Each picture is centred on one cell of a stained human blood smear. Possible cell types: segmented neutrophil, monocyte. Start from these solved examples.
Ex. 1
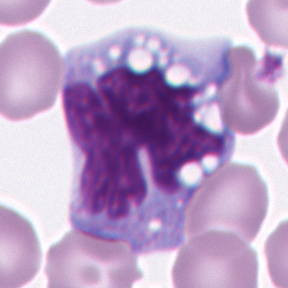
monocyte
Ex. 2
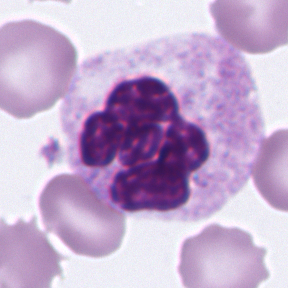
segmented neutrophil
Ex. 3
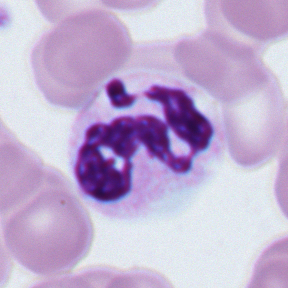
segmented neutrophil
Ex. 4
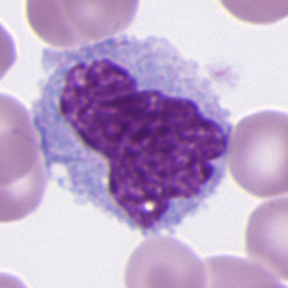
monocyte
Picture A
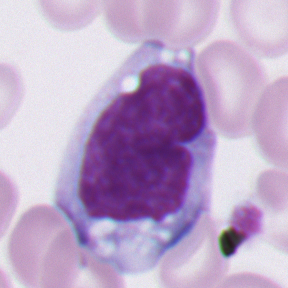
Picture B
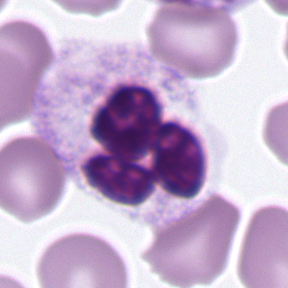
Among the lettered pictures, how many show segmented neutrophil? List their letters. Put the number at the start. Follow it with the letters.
1: B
